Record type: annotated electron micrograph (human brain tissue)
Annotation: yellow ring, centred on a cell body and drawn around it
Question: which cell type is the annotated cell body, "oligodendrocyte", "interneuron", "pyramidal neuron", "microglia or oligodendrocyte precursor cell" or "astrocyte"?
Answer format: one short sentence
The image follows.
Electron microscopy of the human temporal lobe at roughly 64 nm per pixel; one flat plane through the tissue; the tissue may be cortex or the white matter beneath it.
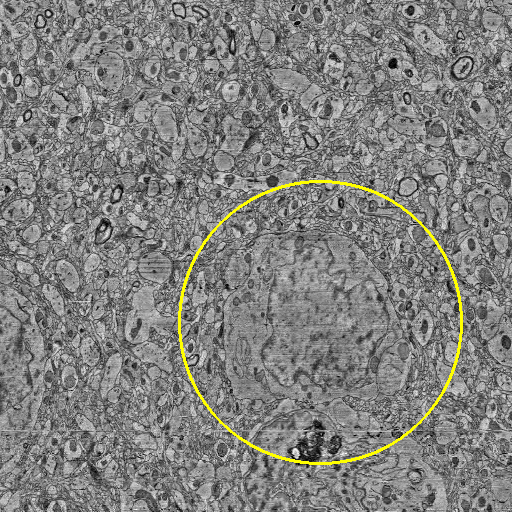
The annotated cell body is that of an interneuron.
